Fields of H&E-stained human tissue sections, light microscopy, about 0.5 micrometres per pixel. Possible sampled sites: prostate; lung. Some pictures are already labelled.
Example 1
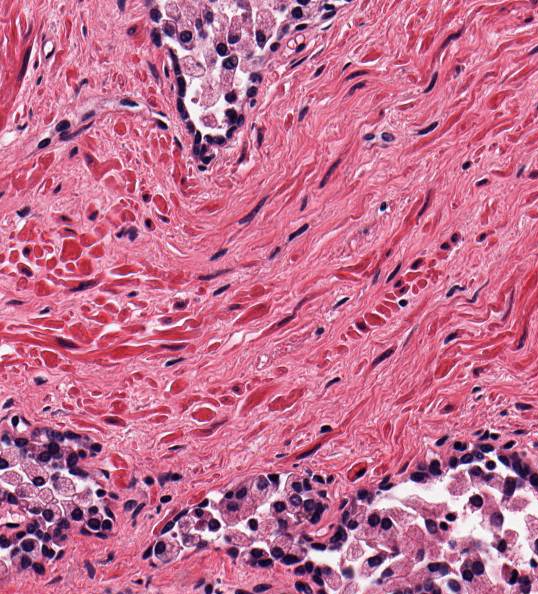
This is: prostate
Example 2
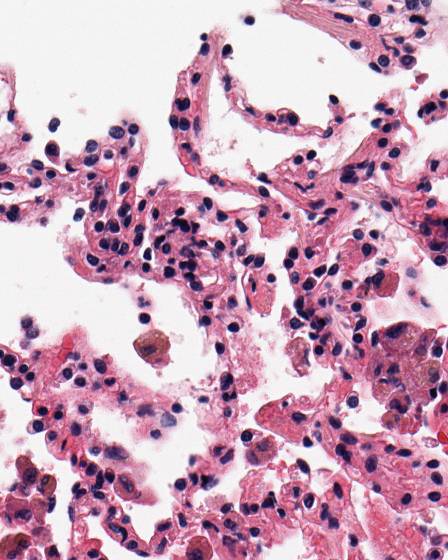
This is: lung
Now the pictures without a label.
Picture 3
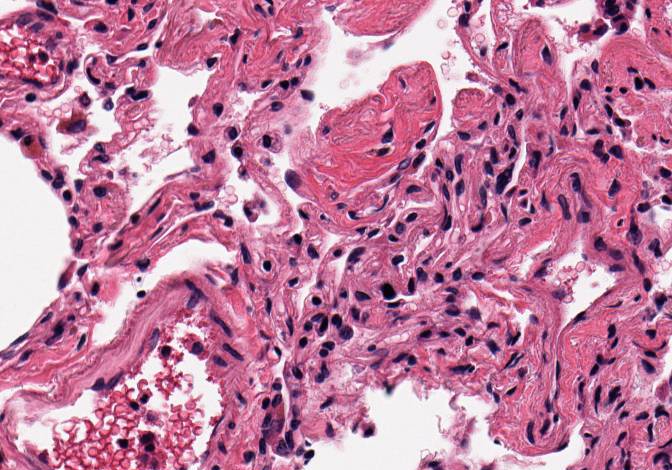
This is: lung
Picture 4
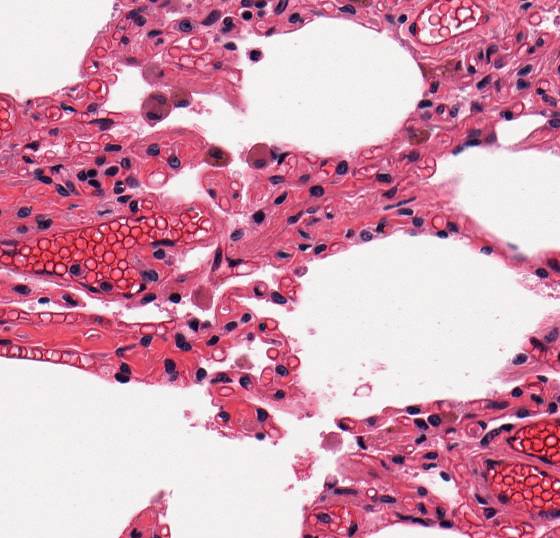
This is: lung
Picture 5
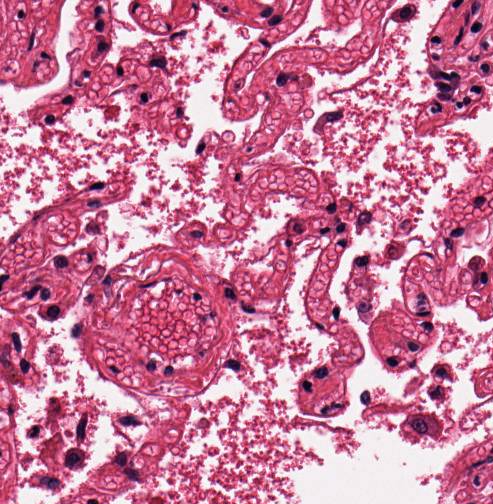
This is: lung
